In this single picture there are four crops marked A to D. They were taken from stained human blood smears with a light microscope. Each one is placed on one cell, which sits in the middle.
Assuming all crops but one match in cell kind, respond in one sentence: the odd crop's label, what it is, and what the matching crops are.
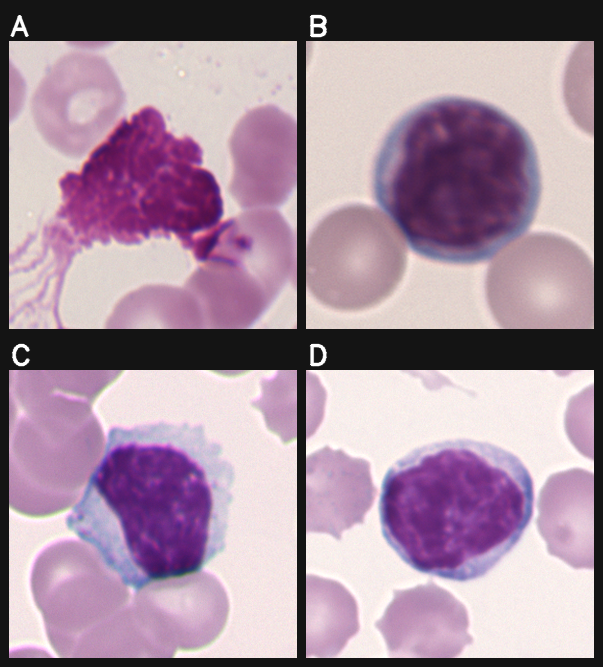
The remaining crops are all typical lymphocytes, so crop A, being a smudge cell, is the exception.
